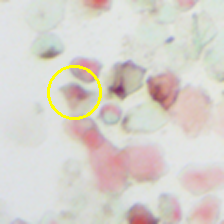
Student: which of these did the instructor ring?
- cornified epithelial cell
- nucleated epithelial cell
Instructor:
The cell I ringed is a nucleated epithelial cell.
